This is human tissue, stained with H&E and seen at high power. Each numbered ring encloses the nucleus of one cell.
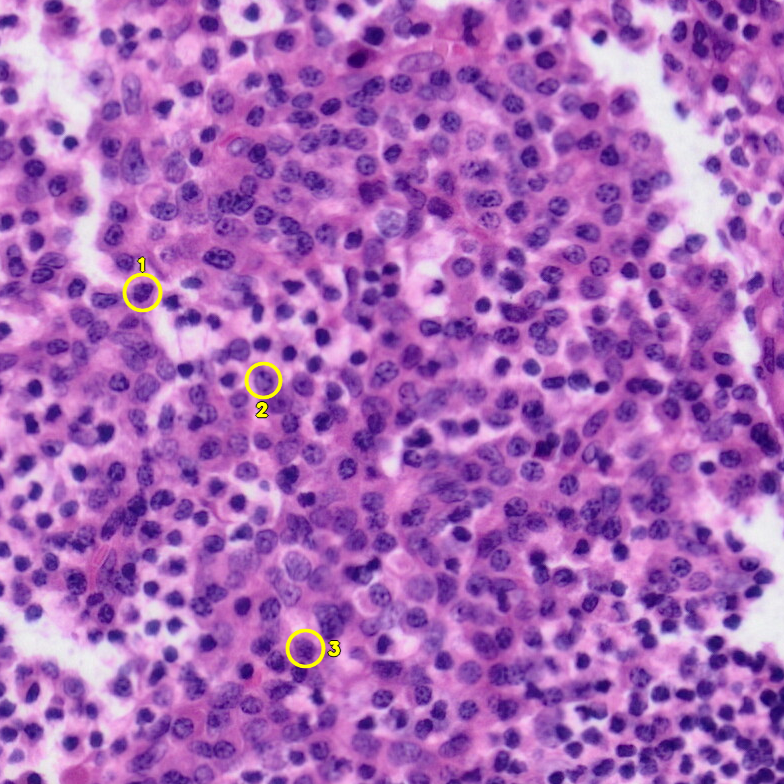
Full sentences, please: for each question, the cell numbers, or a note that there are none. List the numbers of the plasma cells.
The cells with labels 1 and 2 are plasma cells.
